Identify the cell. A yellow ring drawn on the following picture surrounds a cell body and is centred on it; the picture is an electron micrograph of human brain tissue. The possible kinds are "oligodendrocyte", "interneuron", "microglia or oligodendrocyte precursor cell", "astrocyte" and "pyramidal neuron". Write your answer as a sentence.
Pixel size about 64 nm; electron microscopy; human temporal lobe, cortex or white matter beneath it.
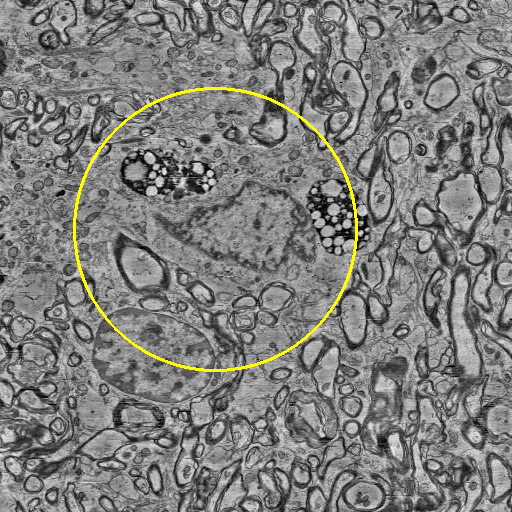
The cell identified by the ring is an astrocyte.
